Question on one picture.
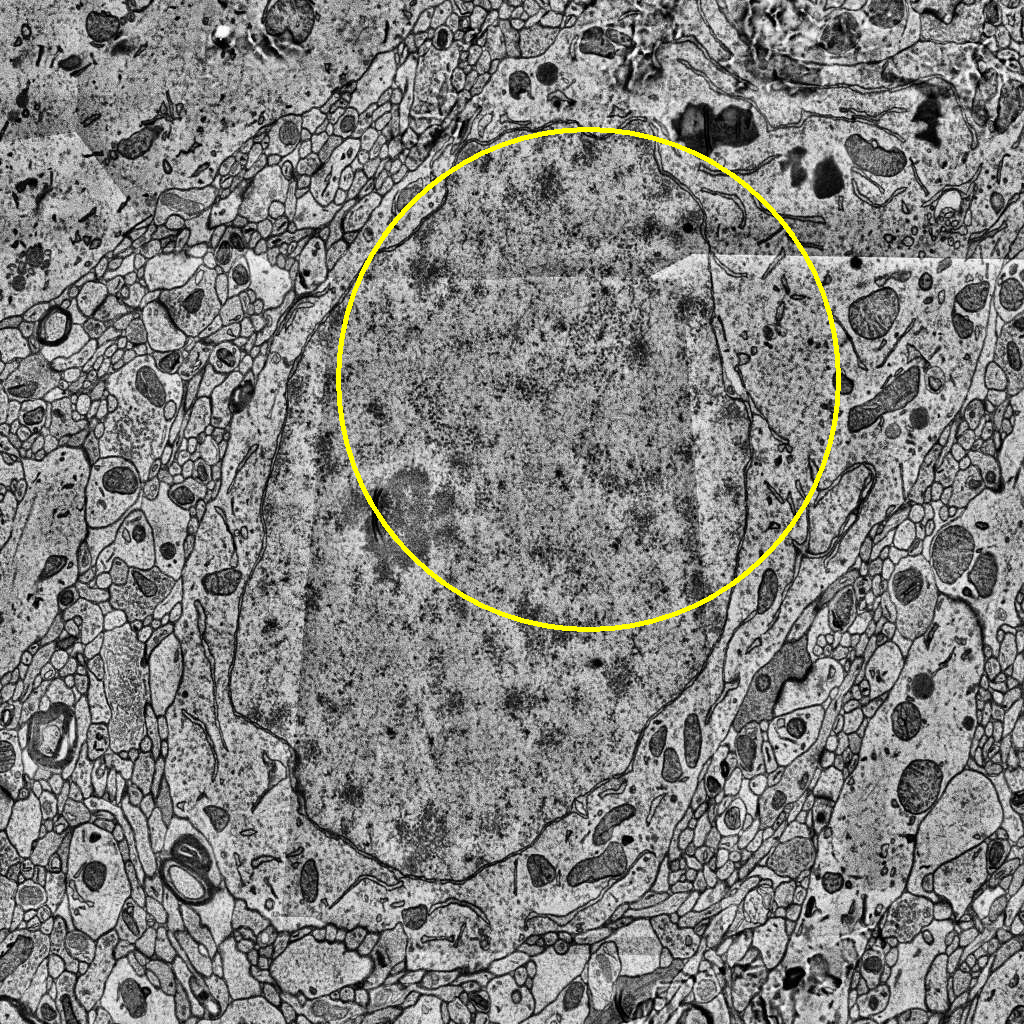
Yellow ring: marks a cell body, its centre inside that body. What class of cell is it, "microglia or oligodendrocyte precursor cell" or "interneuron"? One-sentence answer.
This is an interneuron, the cell at the ring's centre.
